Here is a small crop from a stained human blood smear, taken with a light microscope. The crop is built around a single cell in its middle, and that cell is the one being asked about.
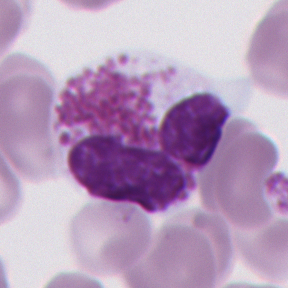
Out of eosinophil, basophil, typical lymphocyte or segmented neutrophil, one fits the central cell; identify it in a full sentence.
Centrally within this crop lies an eosinophil.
